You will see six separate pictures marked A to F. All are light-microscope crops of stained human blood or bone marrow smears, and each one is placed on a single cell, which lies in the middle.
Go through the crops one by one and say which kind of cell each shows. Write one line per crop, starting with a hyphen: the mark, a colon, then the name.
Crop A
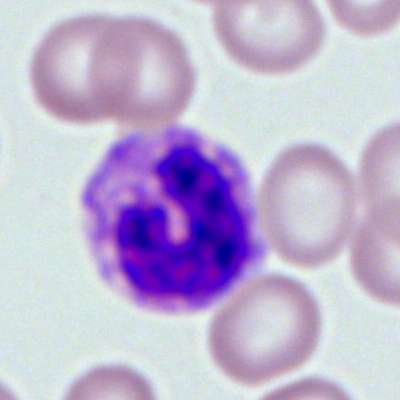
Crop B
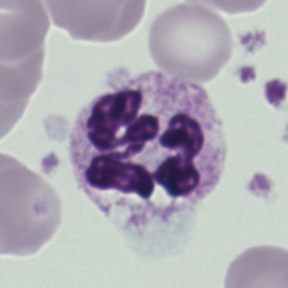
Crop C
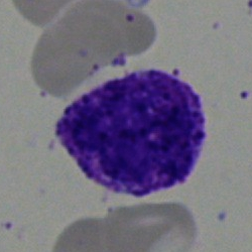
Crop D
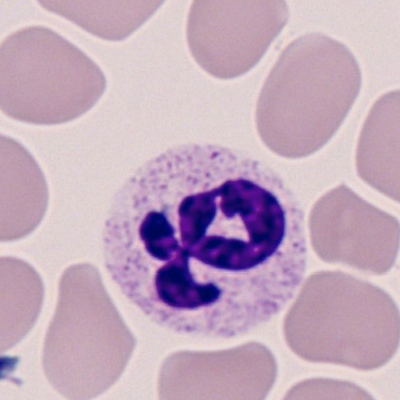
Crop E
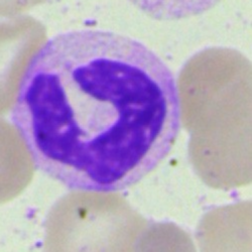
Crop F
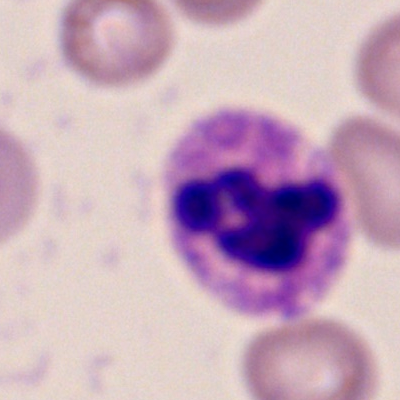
- A: band neutrophil
- B: segmented neutrophil
- C: basophil
- D: segmented neutrophil
- E: band neutrophil
- F: segmented neutrophil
